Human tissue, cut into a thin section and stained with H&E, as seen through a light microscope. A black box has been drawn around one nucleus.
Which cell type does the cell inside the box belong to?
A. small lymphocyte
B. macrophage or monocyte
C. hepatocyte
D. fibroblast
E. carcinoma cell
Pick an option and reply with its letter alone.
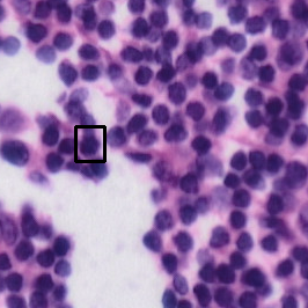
A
